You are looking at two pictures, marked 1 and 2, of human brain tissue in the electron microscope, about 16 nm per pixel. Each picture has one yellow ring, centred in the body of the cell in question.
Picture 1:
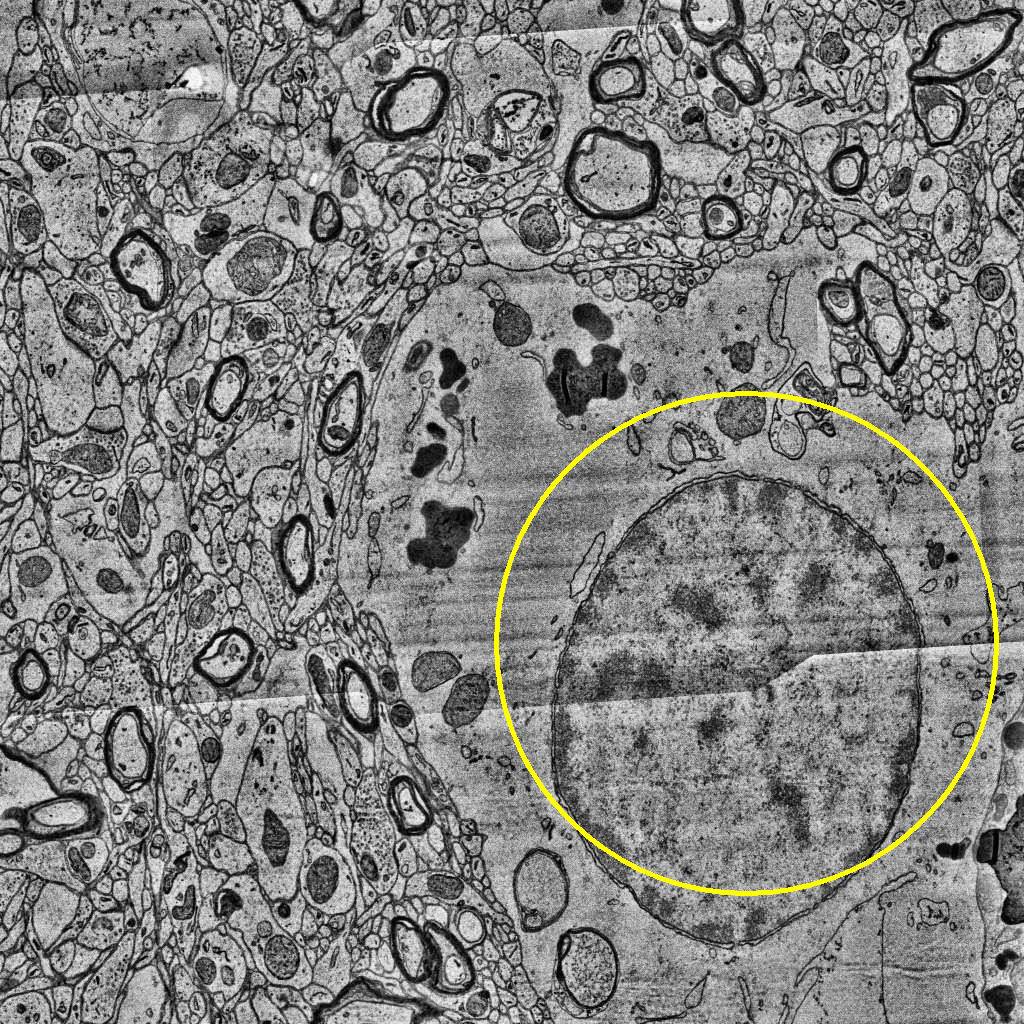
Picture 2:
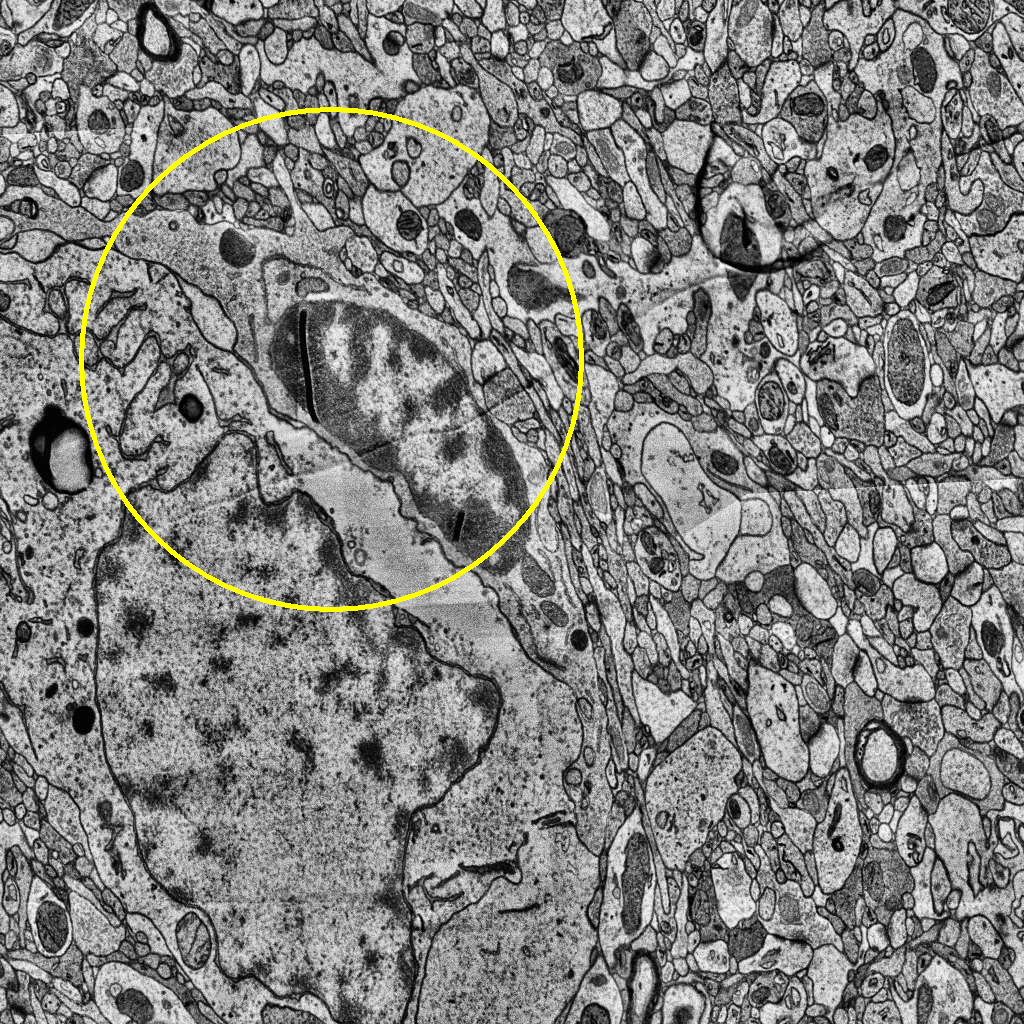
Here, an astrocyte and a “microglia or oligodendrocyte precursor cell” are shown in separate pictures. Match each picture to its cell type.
Picture 1 shows an astrocyte and picture 2 shows a “microglia or oligodendrocyte precursor cell”.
